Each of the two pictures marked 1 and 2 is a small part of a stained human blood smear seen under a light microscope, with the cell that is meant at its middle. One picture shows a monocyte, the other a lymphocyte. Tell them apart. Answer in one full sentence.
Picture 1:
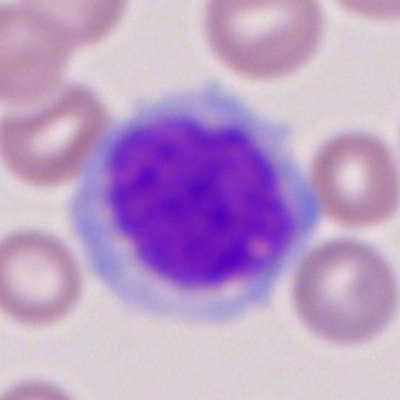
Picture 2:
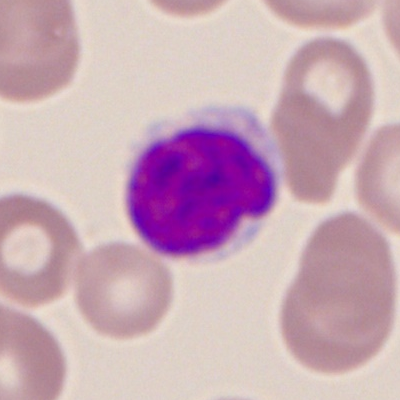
The cell in picture 1 is a monocyte, and the one in picture 2 is a lymphocyte.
